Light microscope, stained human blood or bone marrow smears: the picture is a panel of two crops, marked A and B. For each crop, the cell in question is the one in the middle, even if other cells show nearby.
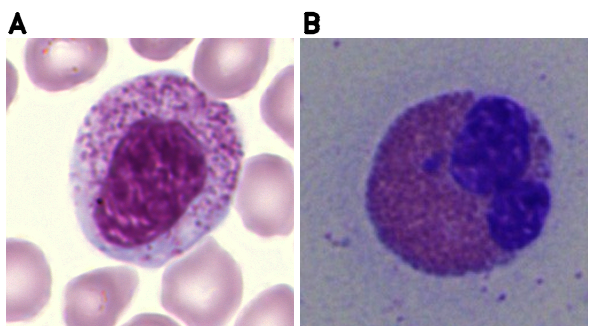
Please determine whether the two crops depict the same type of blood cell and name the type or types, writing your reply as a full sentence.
No, that is not right; crop A shows a myelocyte and crop B shows an eosinophil.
